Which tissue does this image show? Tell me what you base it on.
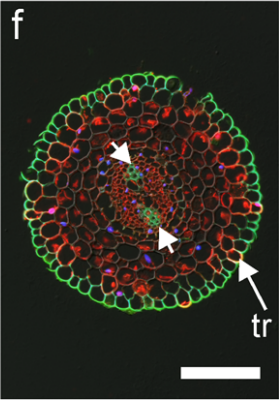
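Round cross section with a central vascular cylinder surrounded by a broad cortex of rounded cells. Single outer cell layer encloses the section.
Hence: root.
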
